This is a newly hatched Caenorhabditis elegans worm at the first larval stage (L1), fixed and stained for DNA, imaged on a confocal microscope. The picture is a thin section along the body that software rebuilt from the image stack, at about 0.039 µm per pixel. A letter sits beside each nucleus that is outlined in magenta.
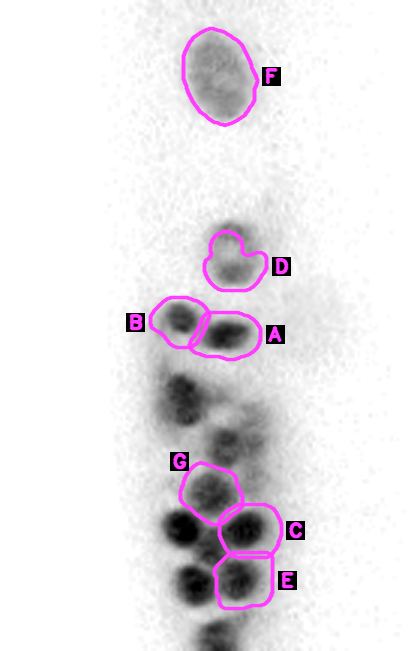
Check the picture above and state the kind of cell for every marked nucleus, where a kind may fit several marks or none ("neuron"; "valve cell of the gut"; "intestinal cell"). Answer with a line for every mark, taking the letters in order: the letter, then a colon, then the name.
A: valve cell of the gut
B: valve cell of the gut
C: neuron
D: intestinal cell
E: neuron
F: intestinal cell
G: neuron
